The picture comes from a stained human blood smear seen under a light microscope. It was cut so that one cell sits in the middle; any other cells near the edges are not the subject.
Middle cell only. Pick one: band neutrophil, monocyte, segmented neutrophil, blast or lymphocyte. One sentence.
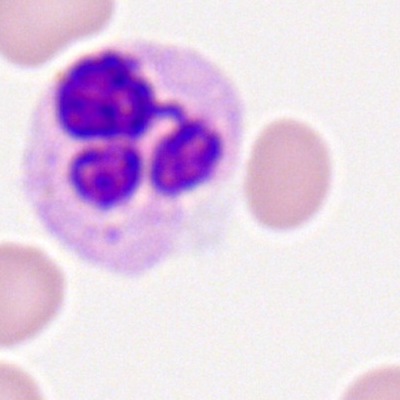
In the center of this field lies a segmented neutrophil.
